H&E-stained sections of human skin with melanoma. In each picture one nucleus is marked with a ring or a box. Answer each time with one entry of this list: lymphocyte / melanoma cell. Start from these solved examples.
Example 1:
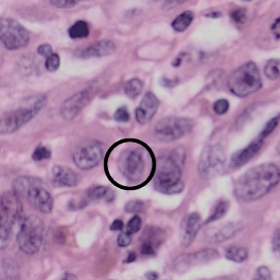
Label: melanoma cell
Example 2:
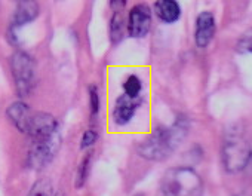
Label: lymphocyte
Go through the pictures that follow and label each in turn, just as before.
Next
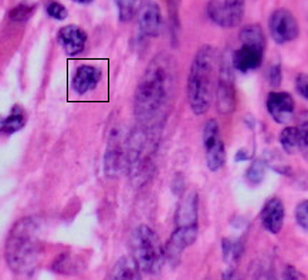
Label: lymphocyte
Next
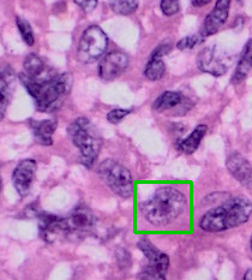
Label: melanoma cell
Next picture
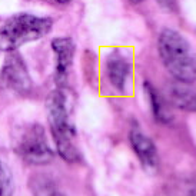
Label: melanoma cell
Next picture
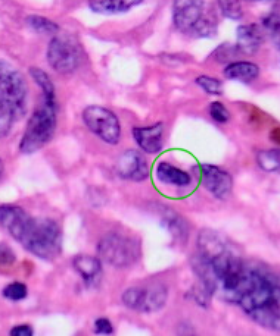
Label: lymphocyte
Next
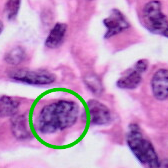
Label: melanoma cell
